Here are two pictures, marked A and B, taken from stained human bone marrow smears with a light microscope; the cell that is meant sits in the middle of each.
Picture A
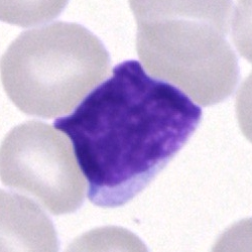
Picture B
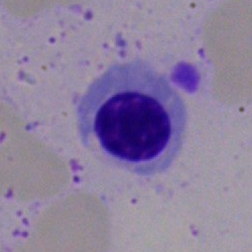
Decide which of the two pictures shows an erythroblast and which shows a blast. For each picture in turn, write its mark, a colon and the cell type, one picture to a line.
A: blast
B: erythroblast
